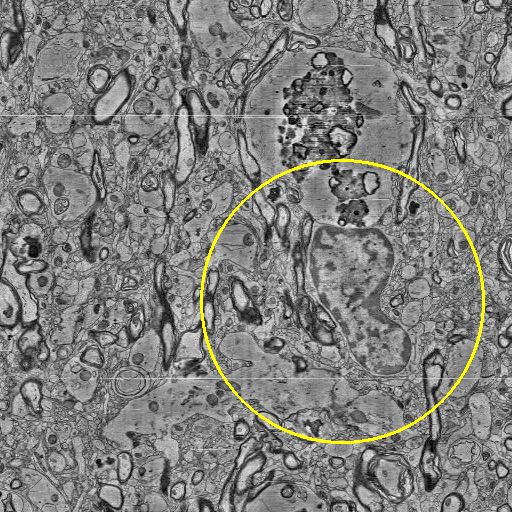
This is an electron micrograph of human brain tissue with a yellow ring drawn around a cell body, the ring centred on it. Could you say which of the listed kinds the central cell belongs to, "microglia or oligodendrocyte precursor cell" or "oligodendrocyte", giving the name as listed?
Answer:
microglia or oligodendrocyte precursor cell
